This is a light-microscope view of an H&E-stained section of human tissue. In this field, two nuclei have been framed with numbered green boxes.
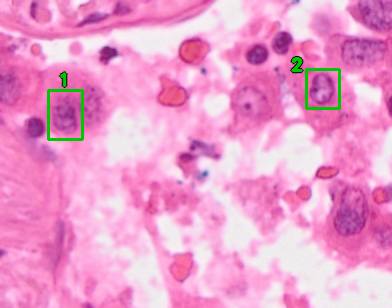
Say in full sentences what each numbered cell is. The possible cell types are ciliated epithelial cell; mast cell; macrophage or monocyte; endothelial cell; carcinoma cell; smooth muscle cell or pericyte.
Cell 1 is a carcinoma cell and cell 2 is a macrophage or monocyte.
